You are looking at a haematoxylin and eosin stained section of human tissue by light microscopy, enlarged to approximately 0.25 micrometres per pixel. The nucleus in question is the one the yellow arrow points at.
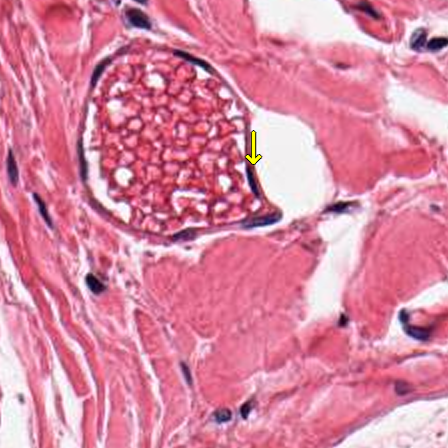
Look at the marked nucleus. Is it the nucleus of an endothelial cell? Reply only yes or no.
yes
